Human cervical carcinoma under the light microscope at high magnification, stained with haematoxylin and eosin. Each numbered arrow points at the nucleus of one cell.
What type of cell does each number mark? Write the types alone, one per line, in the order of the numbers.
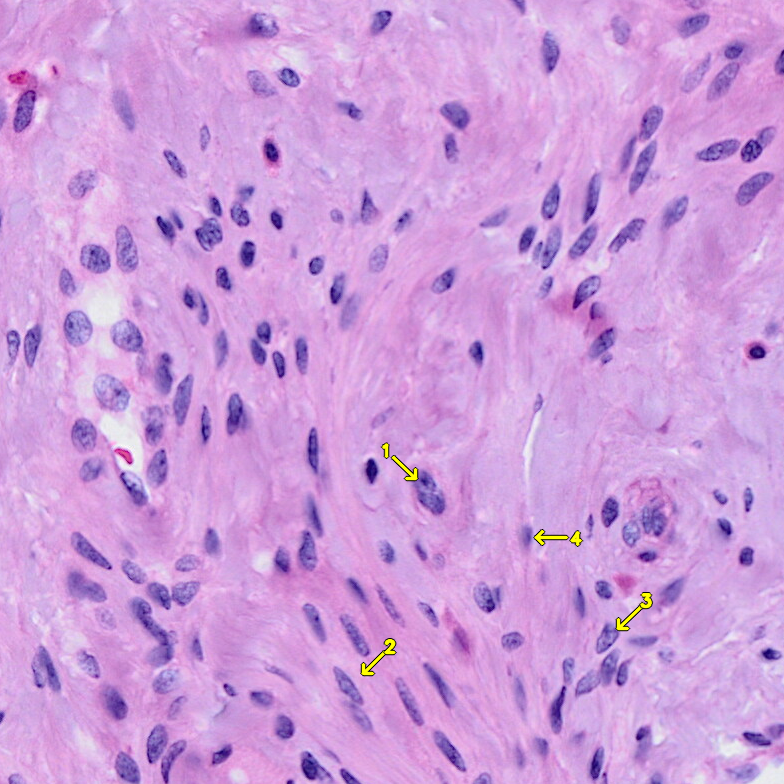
endothelial cell
fibroblast
fibroblast
fibroblast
